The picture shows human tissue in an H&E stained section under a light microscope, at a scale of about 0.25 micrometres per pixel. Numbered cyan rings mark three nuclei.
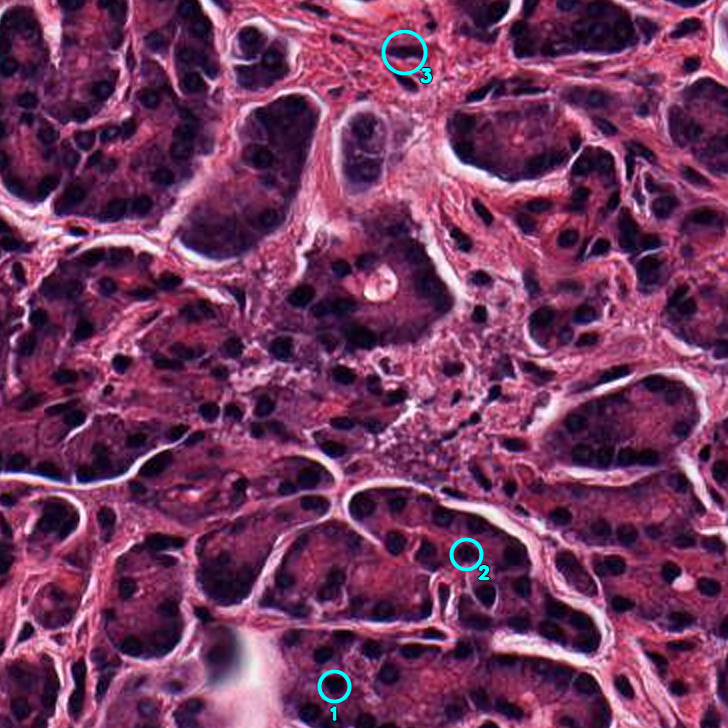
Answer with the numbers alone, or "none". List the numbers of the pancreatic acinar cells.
1, 2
